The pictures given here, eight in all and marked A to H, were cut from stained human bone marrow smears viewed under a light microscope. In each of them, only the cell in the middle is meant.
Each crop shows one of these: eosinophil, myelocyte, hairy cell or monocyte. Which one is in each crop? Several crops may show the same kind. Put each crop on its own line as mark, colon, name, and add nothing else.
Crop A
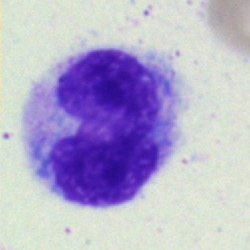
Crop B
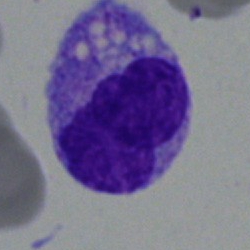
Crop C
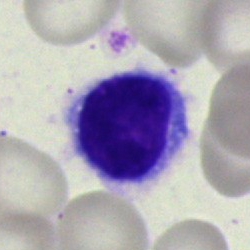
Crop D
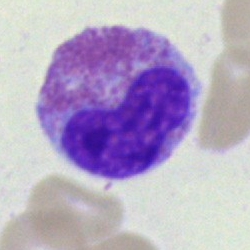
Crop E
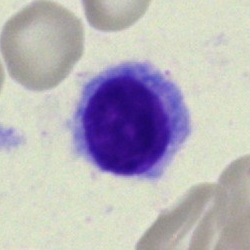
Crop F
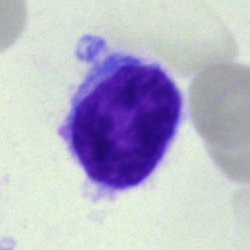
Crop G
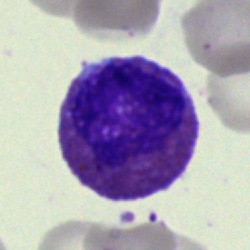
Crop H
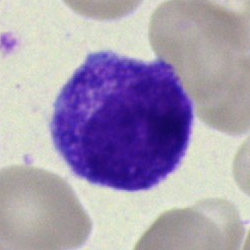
A: monocyte
B: monocyte
C: hairy cell
D: eosinophil
E: hairy cell
F: hairy cell
G: eosinophil
H: myelocyte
